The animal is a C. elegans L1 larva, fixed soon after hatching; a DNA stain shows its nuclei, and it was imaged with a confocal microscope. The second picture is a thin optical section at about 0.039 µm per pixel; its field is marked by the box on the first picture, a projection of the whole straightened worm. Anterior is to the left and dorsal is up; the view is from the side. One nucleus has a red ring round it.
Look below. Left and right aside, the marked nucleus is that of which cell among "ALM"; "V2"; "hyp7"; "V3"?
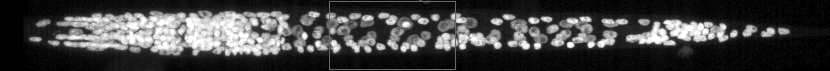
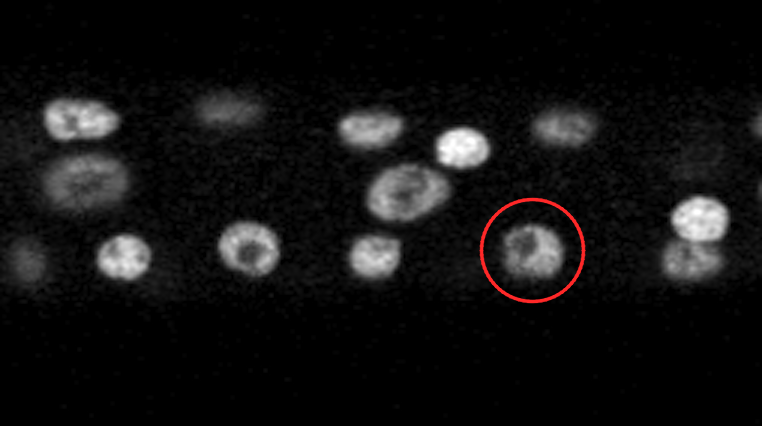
V3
